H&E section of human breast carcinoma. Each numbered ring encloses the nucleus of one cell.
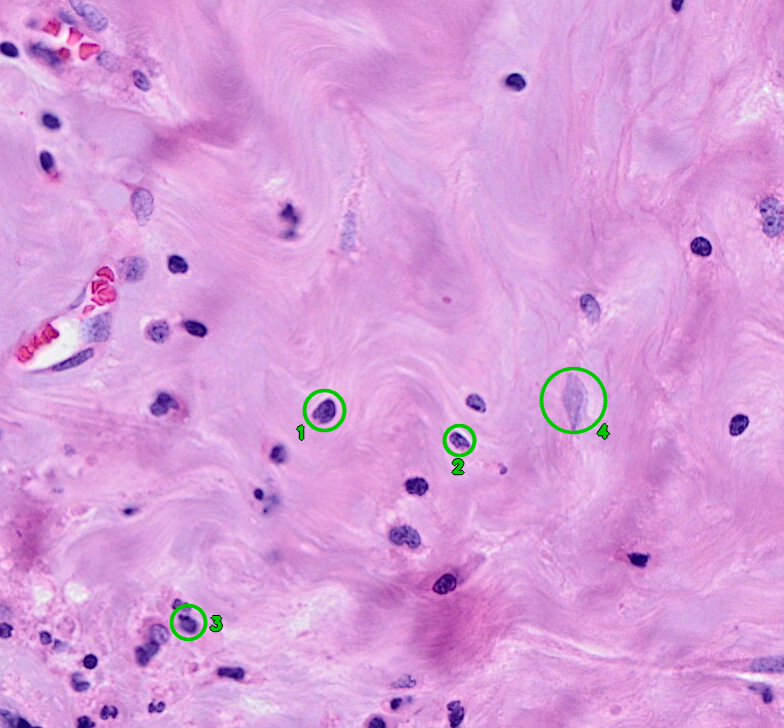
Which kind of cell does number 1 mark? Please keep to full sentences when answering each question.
Cell 1, among those numbered, is a lymphocyte.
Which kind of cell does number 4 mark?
The cell identified by the number 4 is a fibroblast.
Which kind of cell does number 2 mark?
The numbered cell 2 in this field is a lymphocyte.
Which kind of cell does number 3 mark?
Within this field of view, the cell labelled 3 is a lymphocyte.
